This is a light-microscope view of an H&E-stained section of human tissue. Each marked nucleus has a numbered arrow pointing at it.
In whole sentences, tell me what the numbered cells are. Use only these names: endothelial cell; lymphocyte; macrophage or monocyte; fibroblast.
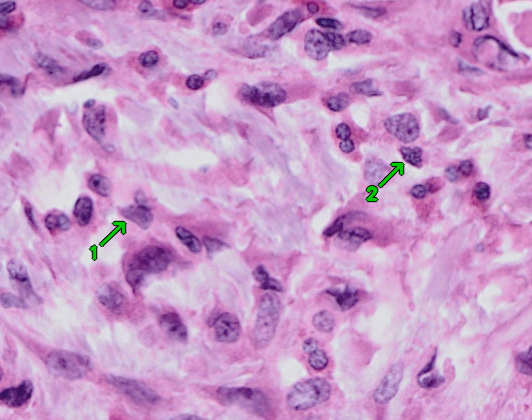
Cell 1 is a macrophage or monocyte. Cell 2 is a lymphocyte.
